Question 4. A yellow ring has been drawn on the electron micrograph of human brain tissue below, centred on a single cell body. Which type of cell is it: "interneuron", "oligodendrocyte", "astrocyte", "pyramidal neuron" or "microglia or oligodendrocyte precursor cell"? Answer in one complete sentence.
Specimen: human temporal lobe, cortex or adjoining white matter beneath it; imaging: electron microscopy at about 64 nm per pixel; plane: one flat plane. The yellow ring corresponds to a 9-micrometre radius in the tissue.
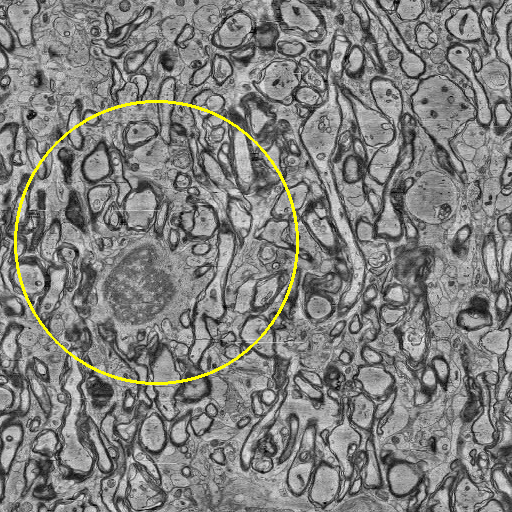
This cell body belongs to an oligodendrocyte.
